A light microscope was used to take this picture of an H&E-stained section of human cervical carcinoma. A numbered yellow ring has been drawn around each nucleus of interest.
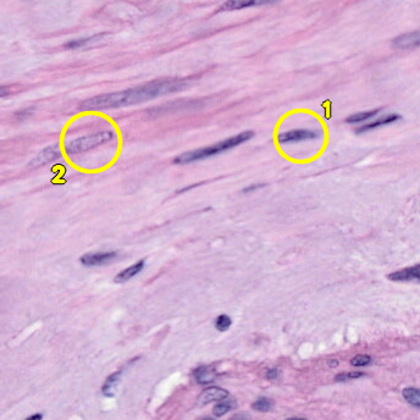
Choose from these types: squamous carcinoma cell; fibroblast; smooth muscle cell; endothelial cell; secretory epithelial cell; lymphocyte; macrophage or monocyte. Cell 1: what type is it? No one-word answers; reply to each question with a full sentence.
Cell 1 in the field is a fibroblast.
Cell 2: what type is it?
What the number 2 marks in this field is a smooth muscle cell.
